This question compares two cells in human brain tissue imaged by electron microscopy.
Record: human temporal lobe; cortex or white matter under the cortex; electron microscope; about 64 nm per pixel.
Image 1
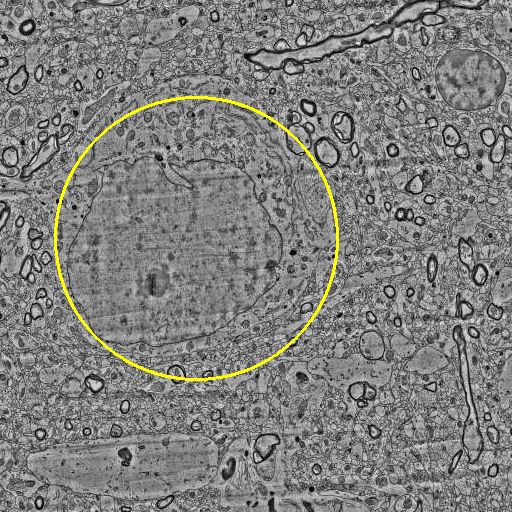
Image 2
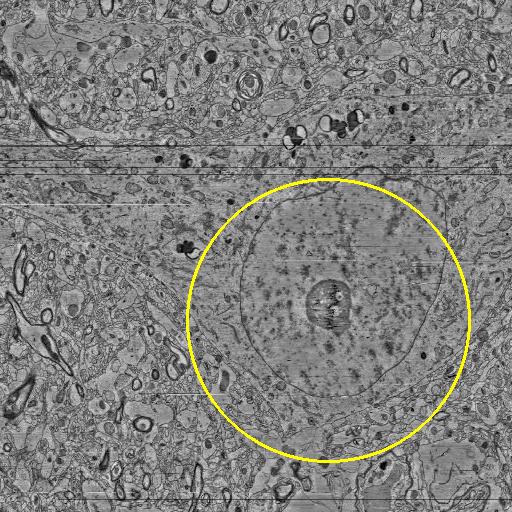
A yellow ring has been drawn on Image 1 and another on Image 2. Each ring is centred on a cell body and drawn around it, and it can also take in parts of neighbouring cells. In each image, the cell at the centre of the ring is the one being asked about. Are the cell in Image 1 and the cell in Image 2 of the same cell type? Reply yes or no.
yes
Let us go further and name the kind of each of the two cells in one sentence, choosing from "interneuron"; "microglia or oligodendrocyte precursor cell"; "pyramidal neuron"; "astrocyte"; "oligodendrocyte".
Both rings mark a pyramidal neuron, one in each picture.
